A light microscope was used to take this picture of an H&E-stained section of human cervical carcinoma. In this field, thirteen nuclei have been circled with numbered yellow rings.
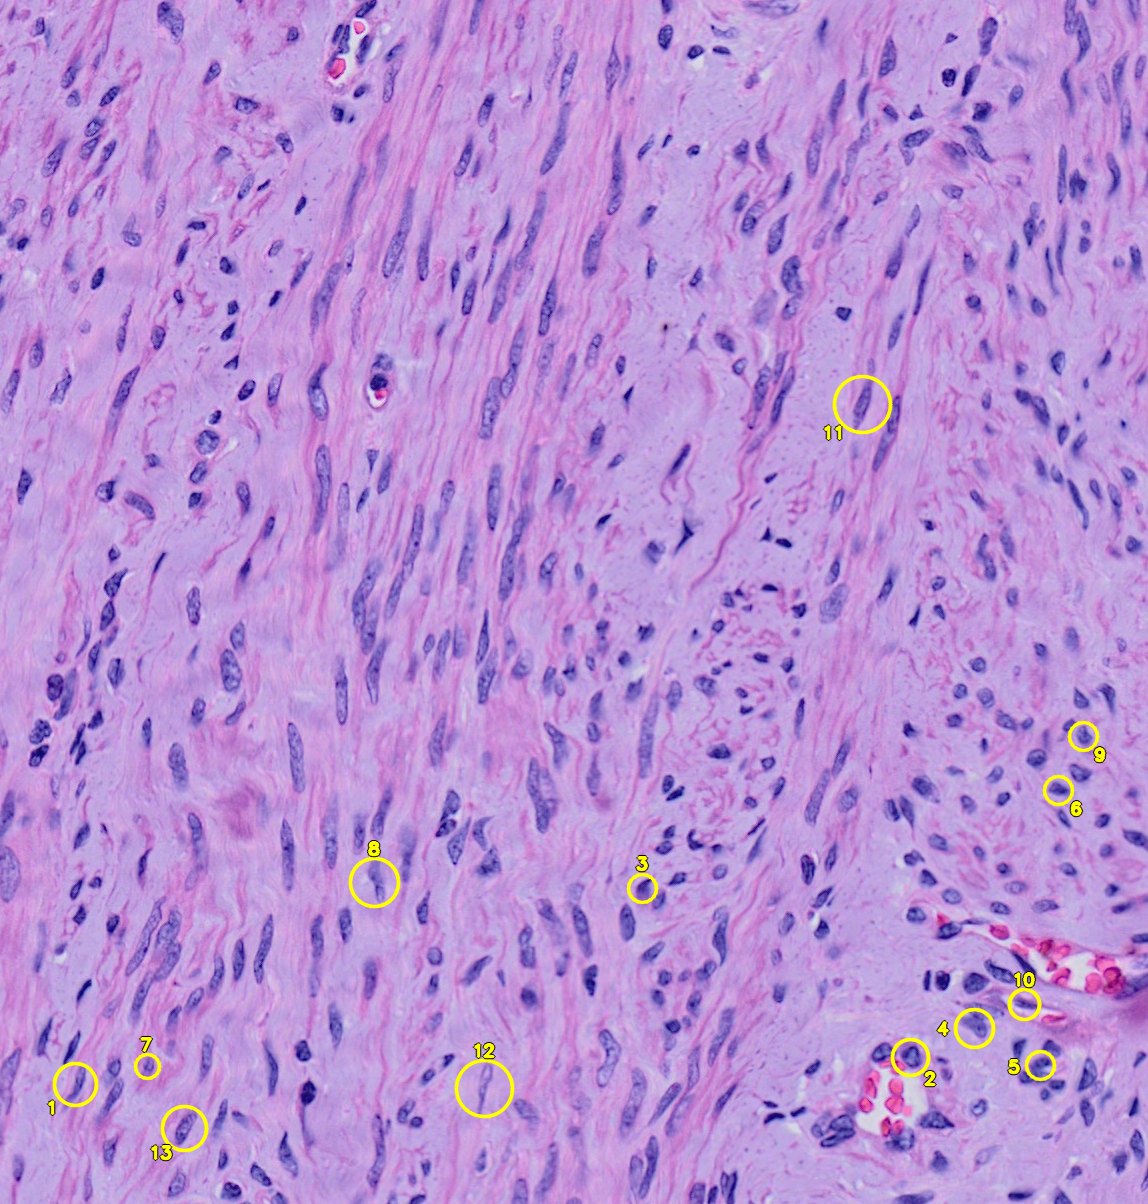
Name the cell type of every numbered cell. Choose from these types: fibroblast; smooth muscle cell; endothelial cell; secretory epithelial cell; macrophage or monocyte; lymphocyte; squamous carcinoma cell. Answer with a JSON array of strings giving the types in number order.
["smooth muscle cell", "endothelial cell", "smooth muscle cell", "fibroblast", "endothelial cell", "fibroblast", "smooth muscle cell", "fibroblast", "smooth muscle cell", "endothelial cell", "smooth muscle cell", "fibroblast", "smooth muscle cell"]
